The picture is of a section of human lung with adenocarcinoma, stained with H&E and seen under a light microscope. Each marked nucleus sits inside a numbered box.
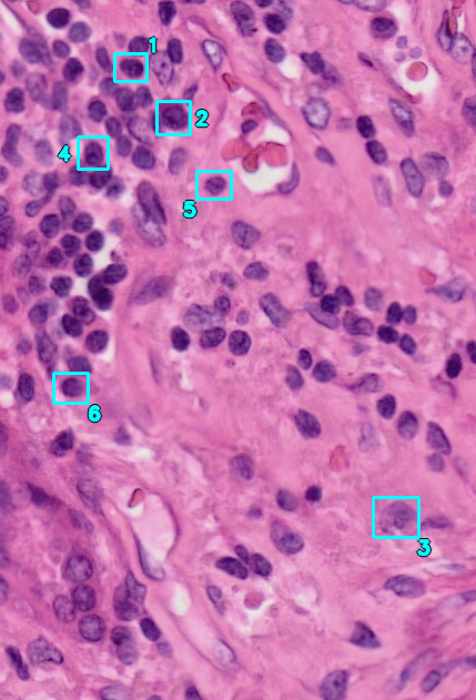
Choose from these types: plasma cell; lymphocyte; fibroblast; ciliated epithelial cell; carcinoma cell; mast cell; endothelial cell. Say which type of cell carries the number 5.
lymphocyte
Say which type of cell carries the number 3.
fibroblast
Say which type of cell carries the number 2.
plasma cell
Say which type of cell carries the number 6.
lymphocyte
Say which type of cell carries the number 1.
lymphocyte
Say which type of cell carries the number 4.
lymphocyte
